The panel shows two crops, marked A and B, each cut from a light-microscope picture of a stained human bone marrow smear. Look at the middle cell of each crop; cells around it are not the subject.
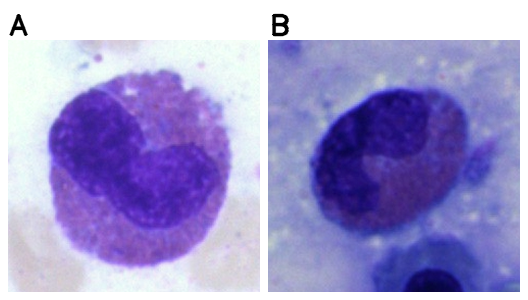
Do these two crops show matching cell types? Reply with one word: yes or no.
yes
